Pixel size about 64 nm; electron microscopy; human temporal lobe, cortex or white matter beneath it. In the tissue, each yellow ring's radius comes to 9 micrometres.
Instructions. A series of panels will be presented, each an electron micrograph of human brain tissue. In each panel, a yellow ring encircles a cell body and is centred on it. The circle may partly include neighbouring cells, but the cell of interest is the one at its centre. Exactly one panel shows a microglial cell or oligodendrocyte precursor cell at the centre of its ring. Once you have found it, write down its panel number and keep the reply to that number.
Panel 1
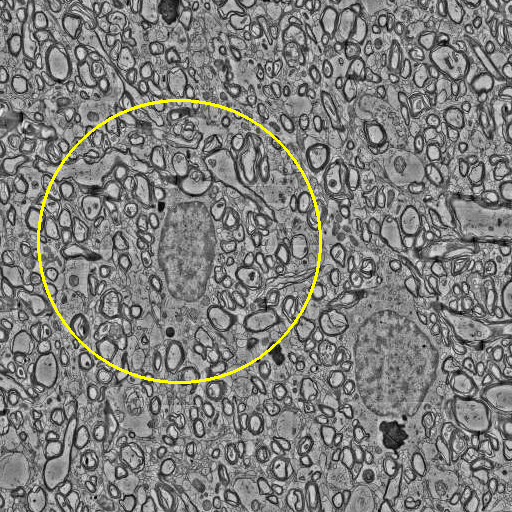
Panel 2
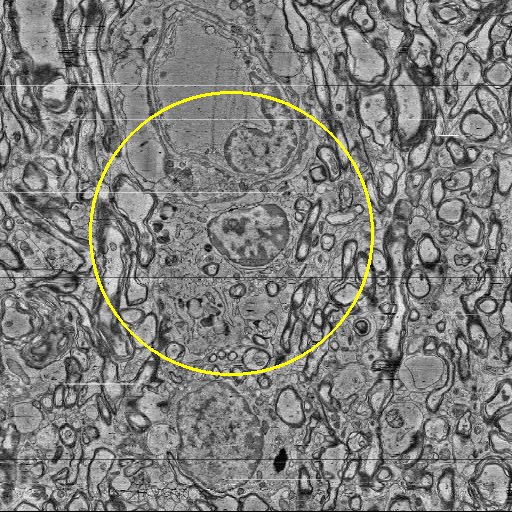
2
